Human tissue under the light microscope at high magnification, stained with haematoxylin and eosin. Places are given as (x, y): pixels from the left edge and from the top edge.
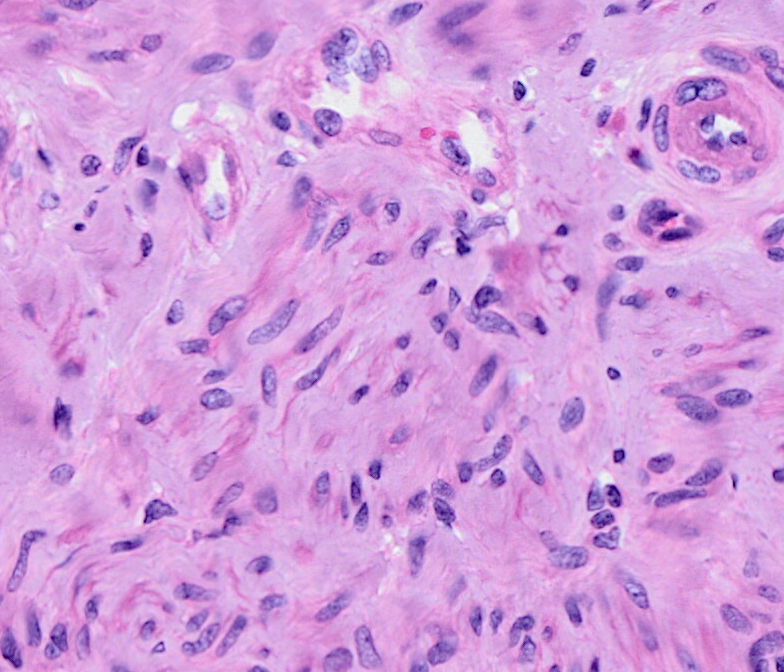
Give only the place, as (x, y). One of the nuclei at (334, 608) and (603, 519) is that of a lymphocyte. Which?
(603, 519)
